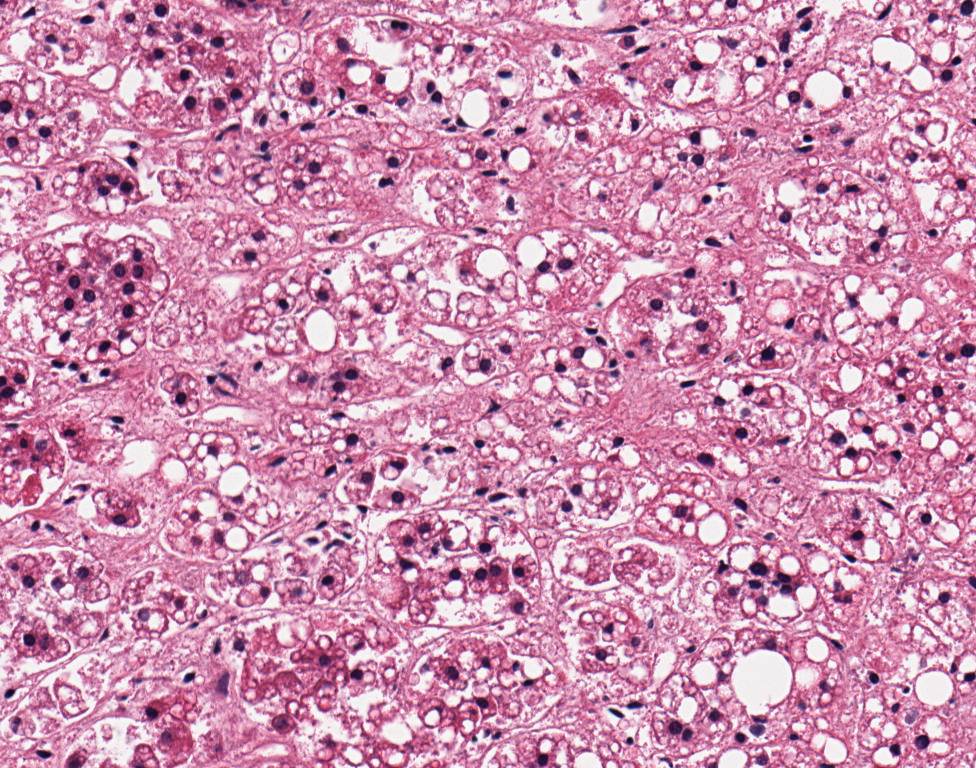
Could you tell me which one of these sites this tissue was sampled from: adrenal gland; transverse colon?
adrenal gland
